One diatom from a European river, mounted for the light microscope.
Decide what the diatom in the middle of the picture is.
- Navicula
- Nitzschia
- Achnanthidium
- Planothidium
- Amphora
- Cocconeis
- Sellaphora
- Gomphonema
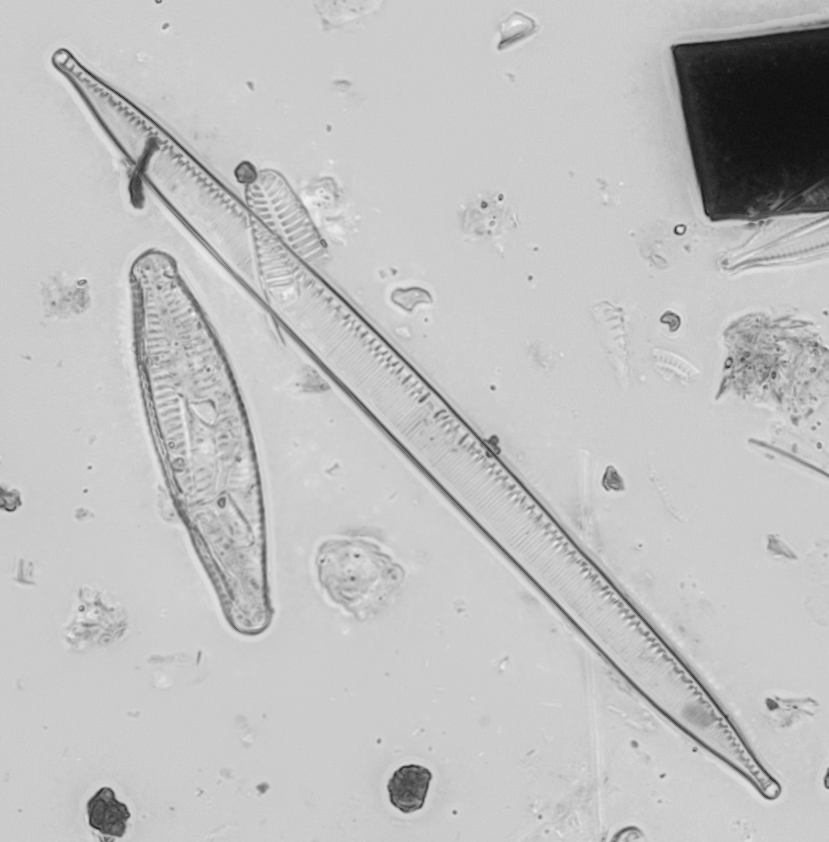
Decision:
Nitzschia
